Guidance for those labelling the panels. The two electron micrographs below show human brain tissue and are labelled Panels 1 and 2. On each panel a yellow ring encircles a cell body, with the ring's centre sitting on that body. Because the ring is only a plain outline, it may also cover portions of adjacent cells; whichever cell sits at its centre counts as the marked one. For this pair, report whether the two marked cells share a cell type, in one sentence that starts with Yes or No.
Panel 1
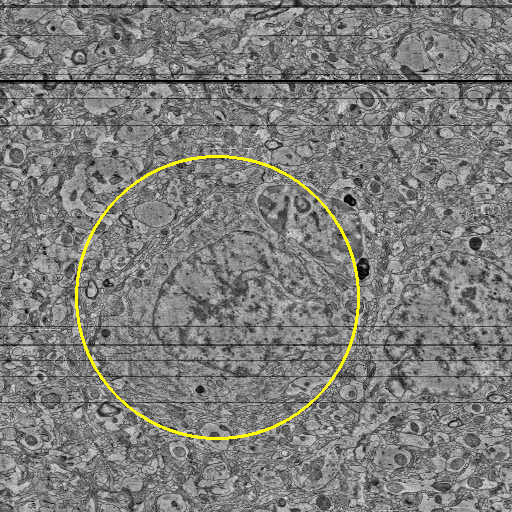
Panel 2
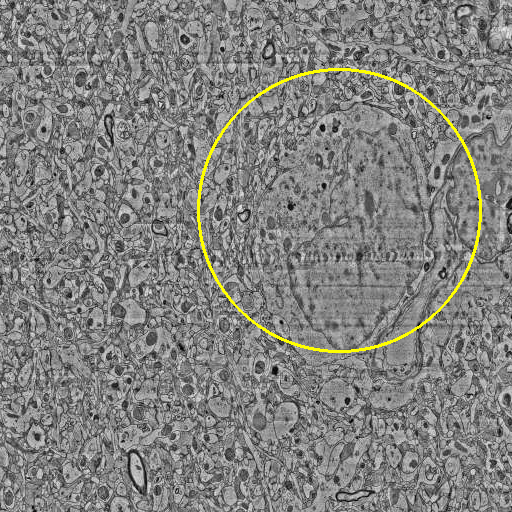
Yes, in Panel 1 and Panel 2 the marked cells at the ring centres share one type.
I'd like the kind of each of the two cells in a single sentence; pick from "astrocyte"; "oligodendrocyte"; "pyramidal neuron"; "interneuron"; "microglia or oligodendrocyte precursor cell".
The second cell is an interneuron, just as the first is.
